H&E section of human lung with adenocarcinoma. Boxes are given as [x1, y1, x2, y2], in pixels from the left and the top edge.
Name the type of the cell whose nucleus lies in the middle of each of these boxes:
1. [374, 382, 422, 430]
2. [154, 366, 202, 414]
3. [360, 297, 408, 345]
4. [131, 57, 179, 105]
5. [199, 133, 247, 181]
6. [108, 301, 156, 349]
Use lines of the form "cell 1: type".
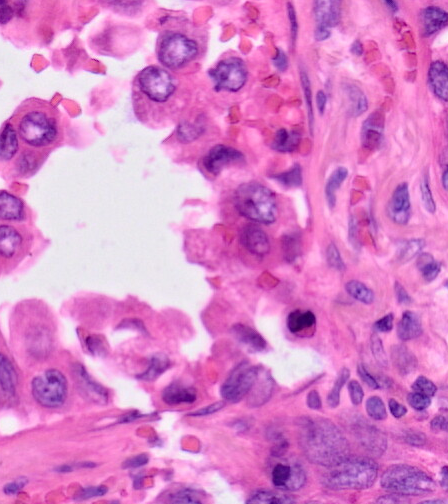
cell 1: lymphocyte
cell 2: carcinoma cell
cell 3: lymphocyte
cell 4: carcinoma cell
cell 5: carcinoma cell
cell 6: carcinoma cell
